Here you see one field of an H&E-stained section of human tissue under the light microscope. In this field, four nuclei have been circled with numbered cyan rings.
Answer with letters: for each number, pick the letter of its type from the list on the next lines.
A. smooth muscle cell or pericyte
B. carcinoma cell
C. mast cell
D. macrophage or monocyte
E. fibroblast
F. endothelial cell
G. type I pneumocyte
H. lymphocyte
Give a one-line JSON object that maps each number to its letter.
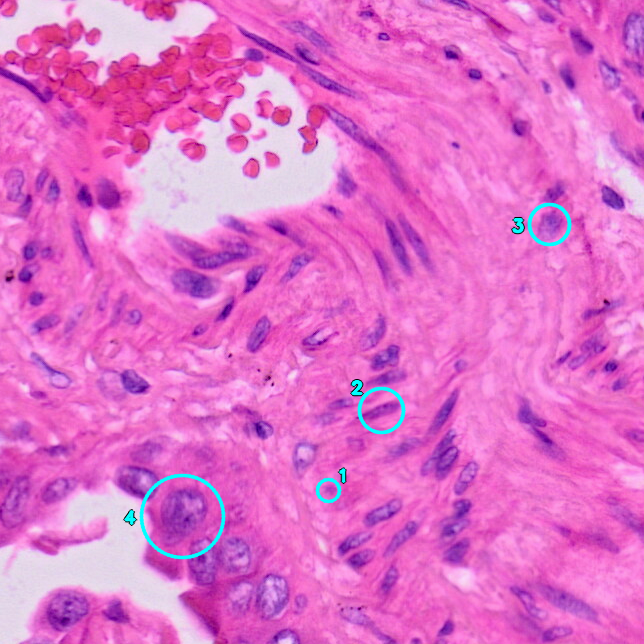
{"1": "A", "2": "A", "3": "A", "4": "B"}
